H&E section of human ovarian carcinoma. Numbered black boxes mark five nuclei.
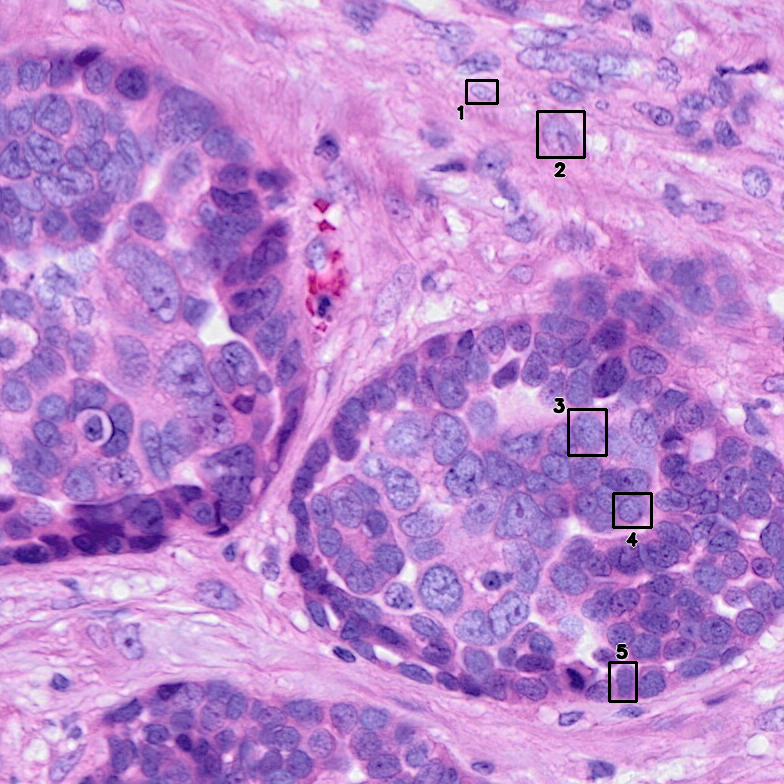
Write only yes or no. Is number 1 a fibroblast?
yes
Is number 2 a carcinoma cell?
no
